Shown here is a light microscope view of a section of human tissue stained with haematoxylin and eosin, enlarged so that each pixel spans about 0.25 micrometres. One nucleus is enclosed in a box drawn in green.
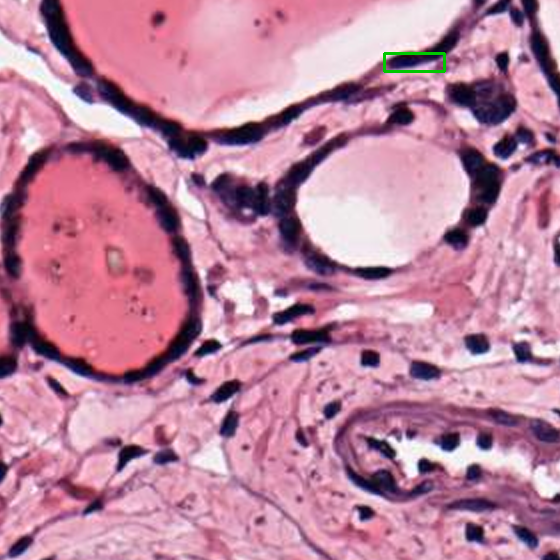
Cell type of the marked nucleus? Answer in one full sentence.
The mark in this picture falls on the nucleus of a thyroid follicular cell.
